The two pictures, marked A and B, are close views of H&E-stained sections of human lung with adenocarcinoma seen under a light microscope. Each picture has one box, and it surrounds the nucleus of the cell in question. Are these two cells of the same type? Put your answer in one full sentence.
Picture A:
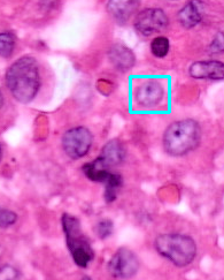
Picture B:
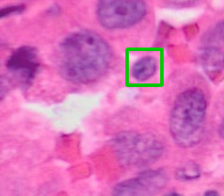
No, picture A shows a “macrophage or monocyte” and picture B shows a lymphocyte.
